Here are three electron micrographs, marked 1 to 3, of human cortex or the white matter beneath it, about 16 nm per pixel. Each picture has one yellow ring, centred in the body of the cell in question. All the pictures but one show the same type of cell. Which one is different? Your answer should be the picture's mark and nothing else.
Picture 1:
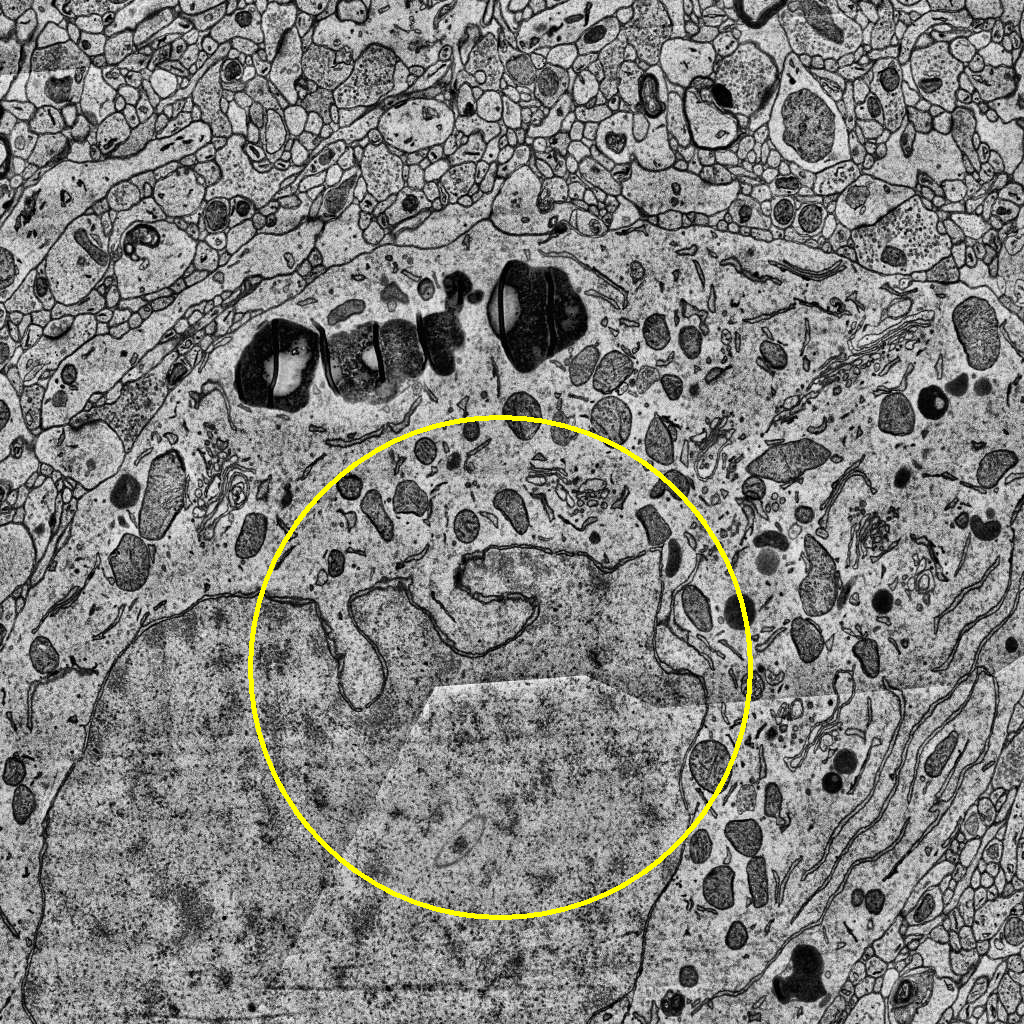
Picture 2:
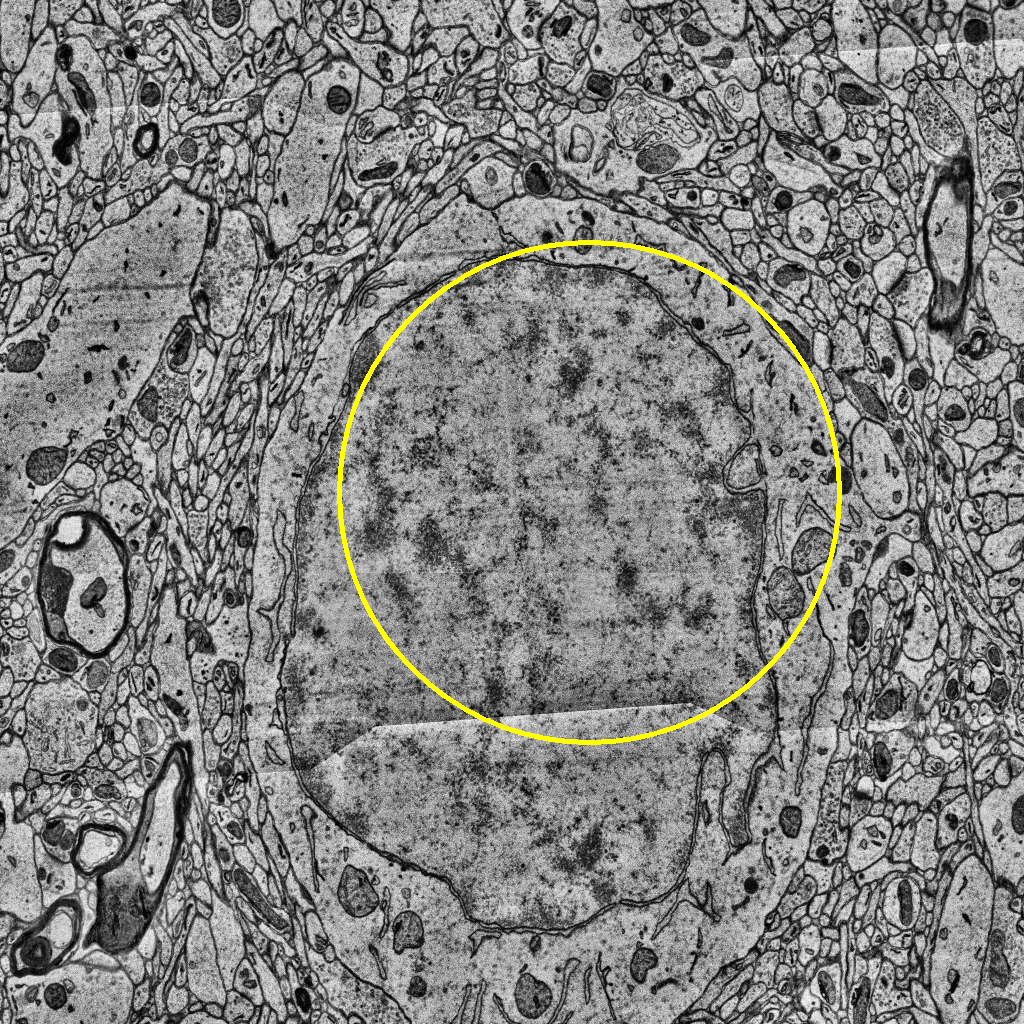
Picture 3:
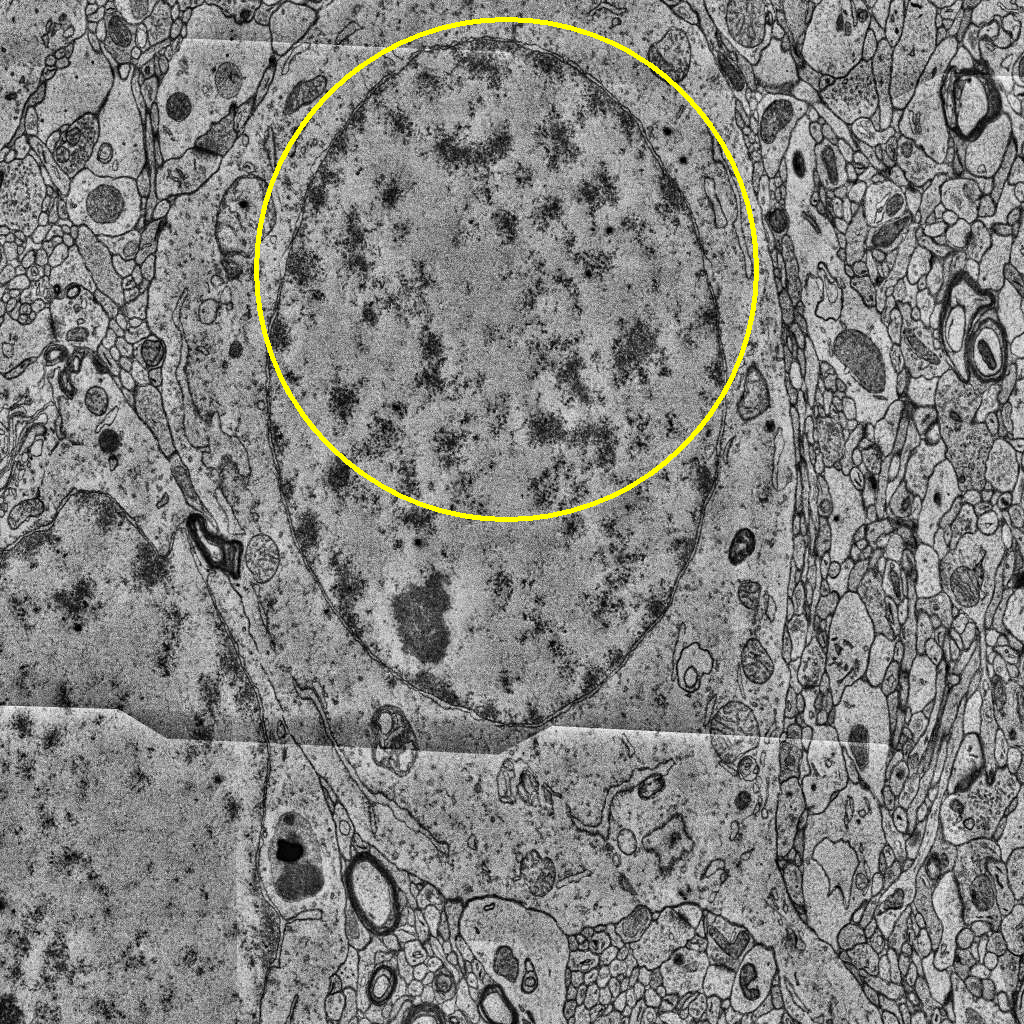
3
